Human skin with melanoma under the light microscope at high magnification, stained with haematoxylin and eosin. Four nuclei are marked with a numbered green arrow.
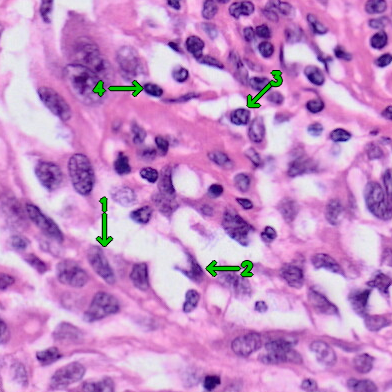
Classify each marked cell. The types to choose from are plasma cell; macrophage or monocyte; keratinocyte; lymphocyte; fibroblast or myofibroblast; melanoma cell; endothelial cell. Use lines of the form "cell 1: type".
cell 1: melanoma cell
cell 2: melanoma cell
cell 3: lymphocyte
cell 4: lymphocyte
